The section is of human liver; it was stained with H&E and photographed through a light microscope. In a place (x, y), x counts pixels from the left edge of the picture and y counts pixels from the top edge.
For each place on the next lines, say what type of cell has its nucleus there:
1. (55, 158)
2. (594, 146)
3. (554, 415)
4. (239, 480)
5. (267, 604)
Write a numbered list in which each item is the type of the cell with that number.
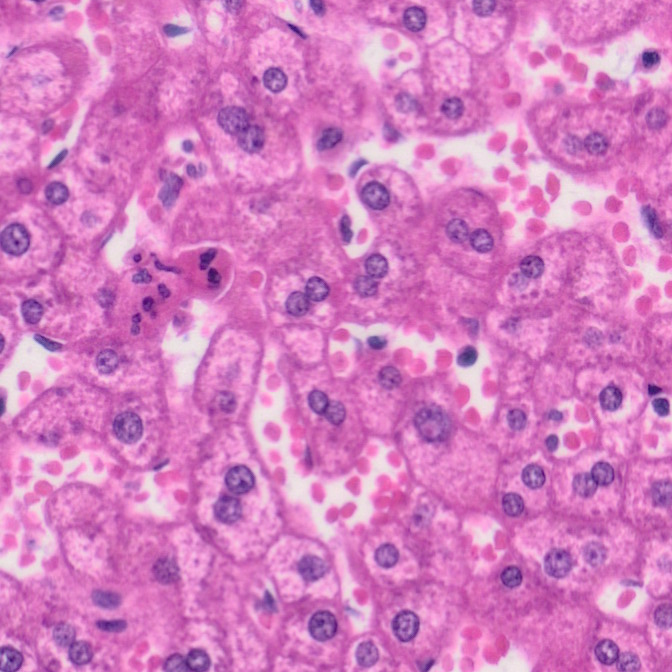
1. endothelial cell
2. hepatocyte
3. Kupffer cell
4. hepatocyte
5. endothelial cell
